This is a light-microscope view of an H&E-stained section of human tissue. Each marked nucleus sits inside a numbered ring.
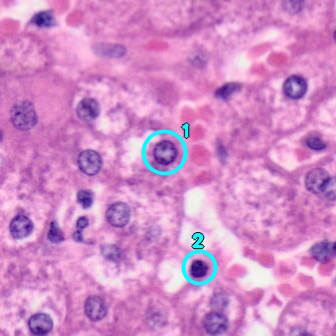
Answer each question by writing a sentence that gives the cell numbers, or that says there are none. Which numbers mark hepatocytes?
Among all the marked cells, a hepatocyte is found only at number 1.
